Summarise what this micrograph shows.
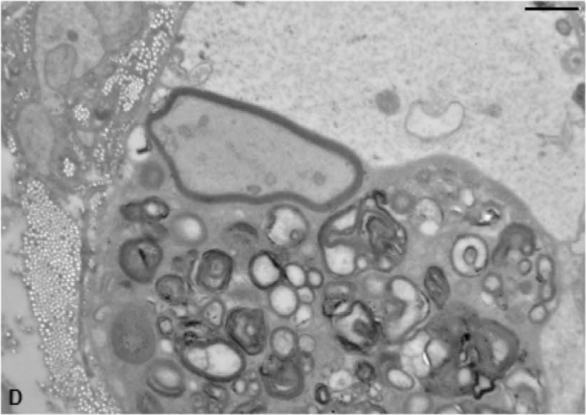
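This electron micrograph of a peripheral nerve shows a macrophage lying against a myelinated axon. The macrophage is large, and its cytoplasm is crowded with round vacuoles and dark, whorled and fragmented membrane debris. The adjacent axon is pale, with a relatively thin dark myelin ring, and lies pressed against the upper edge of the macrophage. To the left, bundles of collagen fibrils cut in cross-section appear as fields of small pale dots.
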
